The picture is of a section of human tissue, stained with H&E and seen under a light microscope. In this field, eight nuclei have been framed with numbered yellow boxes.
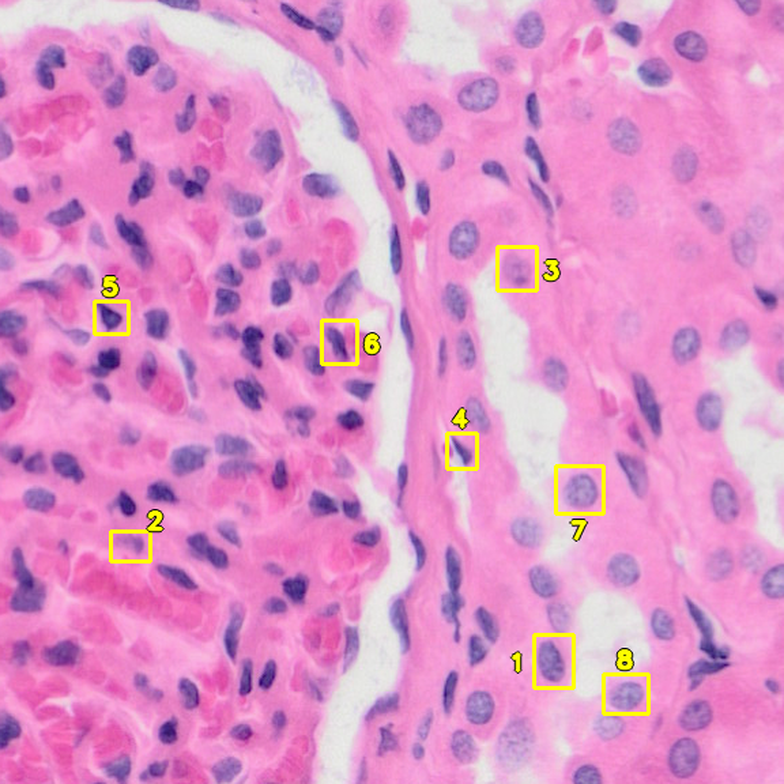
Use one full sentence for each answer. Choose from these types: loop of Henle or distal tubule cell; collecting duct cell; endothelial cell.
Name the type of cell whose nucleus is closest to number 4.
The nucleus nearest to number 4 is that of a loop of Henle or distal tubule cell.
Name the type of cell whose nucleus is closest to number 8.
Closest to number 8 lies the nucleus of a loop of Henle or distal tubule cell.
